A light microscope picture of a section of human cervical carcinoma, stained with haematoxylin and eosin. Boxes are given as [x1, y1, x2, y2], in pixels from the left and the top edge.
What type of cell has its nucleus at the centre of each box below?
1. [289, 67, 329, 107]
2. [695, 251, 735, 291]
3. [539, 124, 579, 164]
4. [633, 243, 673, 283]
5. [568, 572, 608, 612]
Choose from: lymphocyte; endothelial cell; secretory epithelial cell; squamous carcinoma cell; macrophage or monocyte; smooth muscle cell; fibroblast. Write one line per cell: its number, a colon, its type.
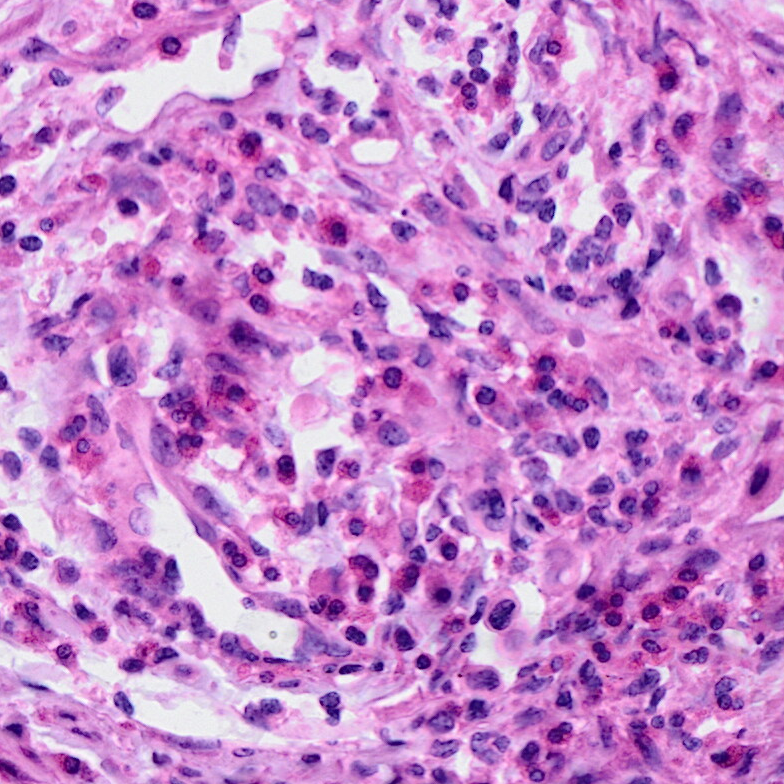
1: macrophage or monocyte
2: lymphocyte
3: endothelial cell
4: lymphocyte
5: lymphocyte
